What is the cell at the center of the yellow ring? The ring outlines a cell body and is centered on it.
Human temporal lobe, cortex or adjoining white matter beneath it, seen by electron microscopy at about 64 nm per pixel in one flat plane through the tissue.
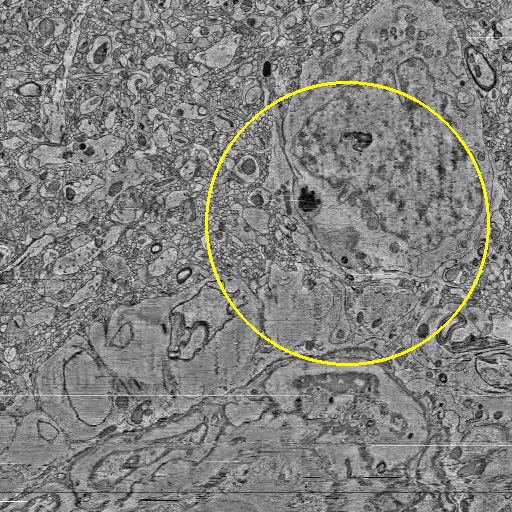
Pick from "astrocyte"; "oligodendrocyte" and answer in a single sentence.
The yellow ring is centered on an oligodendrocyte.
